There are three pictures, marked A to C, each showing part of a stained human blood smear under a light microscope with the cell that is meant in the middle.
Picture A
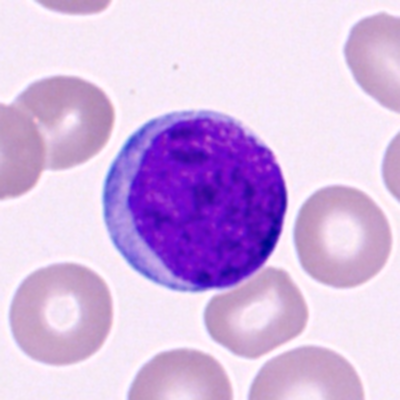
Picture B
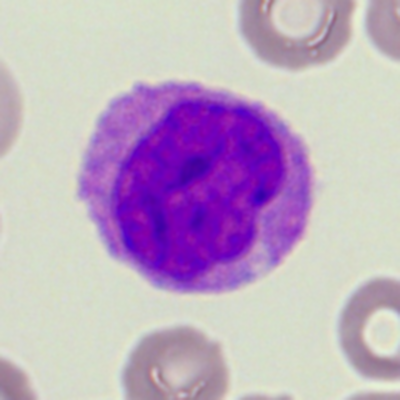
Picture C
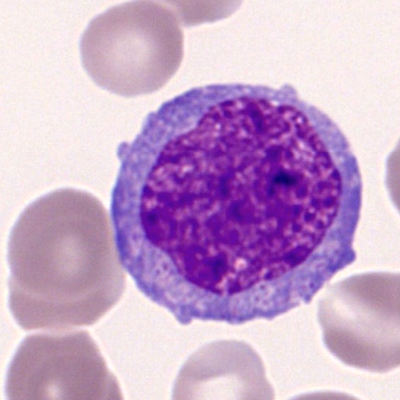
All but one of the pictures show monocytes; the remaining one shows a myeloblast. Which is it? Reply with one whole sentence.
The picture with the myeloblast is A.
